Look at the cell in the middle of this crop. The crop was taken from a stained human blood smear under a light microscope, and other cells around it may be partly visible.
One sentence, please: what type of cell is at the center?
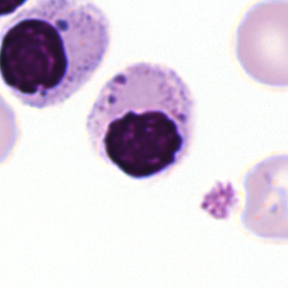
In short, the cell at the center is a normoblast.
